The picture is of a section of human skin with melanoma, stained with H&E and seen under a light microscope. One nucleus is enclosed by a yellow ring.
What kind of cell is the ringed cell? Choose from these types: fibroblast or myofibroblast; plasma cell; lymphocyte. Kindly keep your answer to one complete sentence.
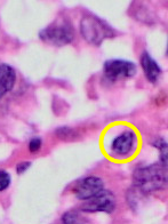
By its classification, the ringed cell is a lymphocyte.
